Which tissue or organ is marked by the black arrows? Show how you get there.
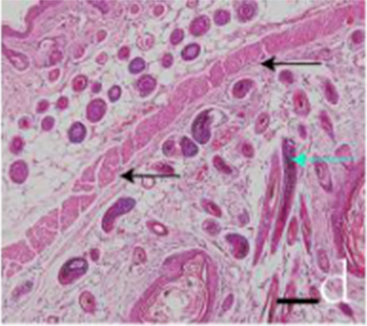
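The black arrows point to a long band of pink, striated-looking tissue running diagonally across the section. The band lies beneath many round follicle profiles in loose connective tissue.
Conclusion: panniculus carnosus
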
